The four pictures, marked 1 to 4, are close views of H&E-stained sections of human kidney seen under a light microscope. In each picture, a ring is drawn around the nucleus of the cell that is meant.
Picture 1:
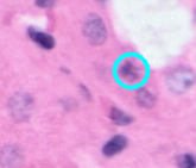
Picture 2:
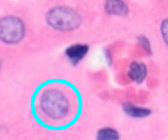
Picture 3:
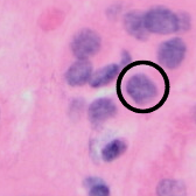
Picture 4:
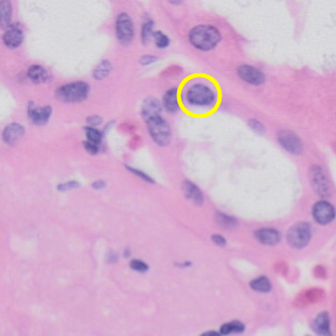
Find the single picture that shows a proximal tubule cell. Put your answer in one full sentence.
It is picture 2 that shows the proximal tubule cell.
